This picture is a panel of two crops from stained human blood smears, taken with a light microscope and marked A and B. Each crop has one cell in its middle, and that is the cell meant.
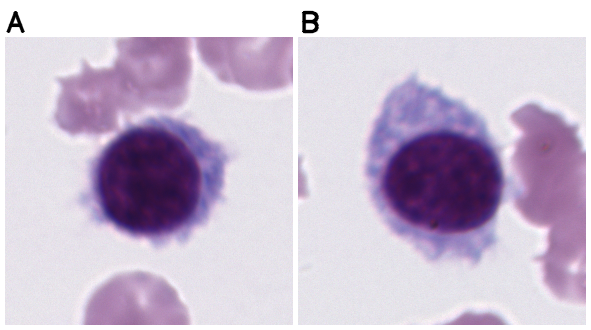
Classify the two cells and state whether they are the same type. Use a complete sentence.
Yes, at the centre of both crops are hairy cells.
